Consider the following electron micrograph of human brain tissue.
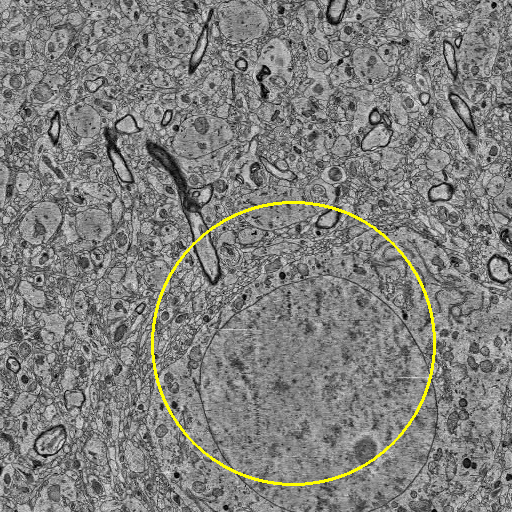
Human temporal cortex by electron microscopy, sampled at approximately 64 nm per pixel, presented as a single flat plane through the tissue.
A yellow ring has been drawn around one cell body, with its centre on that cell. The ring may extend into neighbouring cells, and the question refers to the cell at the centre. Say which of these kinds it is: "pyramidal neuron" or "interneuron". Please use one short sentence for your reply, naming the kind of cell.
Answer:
The centre of the ring falls on a pyramidal neuron.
